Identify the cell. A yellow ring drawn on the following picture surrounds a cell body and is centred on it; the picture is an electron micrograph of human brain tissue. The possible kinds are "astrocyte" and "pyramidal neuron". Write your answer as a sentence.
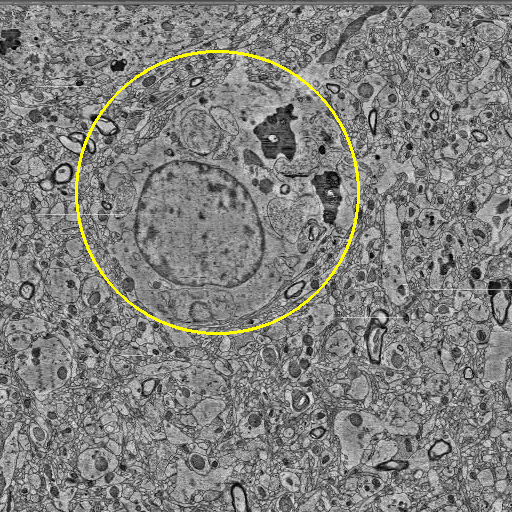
The cell identified by the ring is an astrocyte.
